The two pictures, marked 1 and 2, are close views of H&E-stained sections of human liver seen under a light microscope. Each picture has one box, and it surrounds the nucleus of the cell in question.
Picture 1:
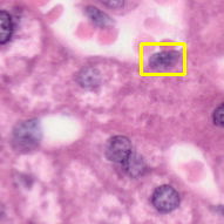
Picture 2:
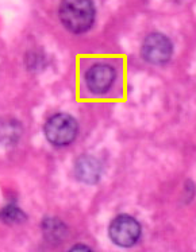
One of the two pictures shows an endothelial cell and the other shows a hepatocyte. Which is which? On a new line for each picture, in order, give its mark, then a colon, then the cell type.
1: endothelial cell
2: hepatocyte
